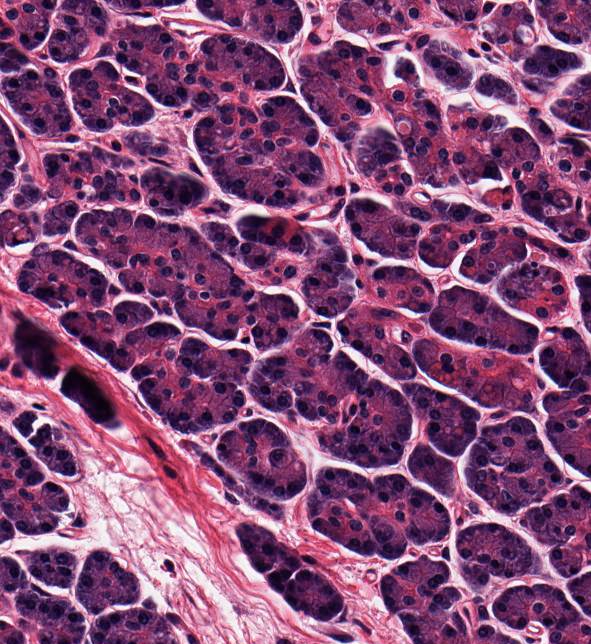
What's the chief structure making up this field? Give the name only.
exocrine pancreas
